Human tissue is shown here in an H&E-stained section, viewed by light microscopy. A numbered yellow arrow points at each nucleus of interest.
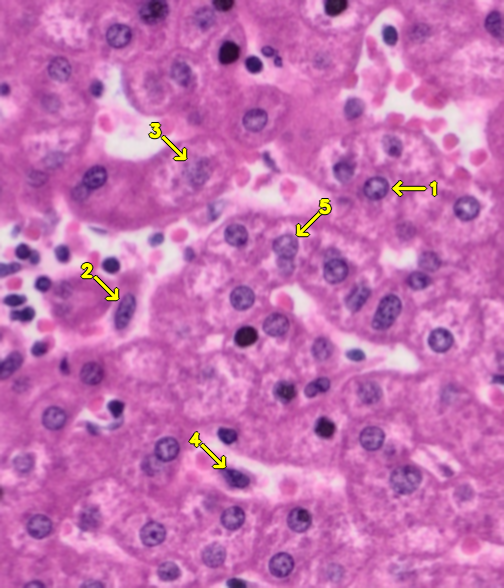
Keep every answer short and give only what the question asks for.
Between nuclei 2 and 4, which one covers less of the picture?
4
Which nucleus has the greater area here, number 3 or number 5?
3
